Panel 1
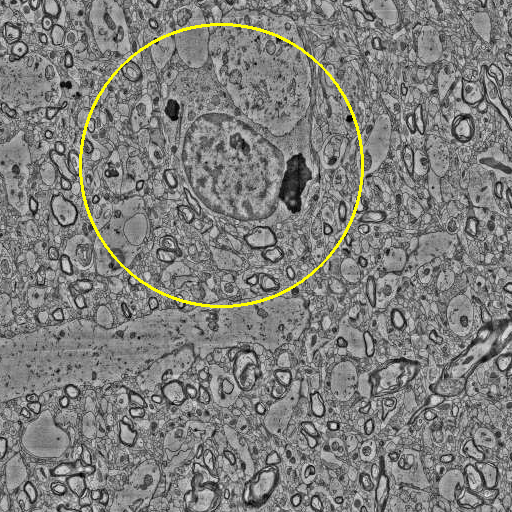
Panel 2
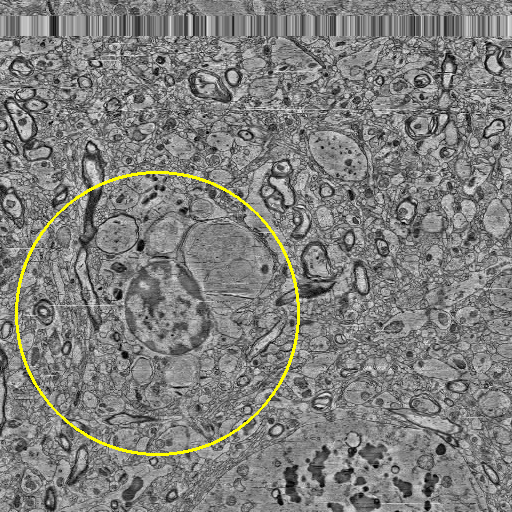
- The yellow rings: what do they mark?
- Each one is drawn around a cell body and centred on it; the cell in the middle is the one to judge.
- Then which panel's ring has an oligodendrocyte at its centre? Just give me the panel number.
1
